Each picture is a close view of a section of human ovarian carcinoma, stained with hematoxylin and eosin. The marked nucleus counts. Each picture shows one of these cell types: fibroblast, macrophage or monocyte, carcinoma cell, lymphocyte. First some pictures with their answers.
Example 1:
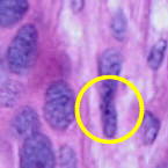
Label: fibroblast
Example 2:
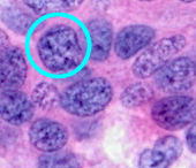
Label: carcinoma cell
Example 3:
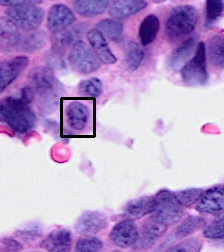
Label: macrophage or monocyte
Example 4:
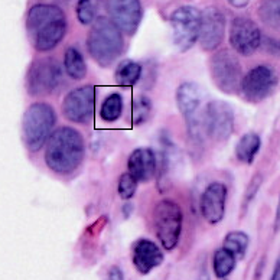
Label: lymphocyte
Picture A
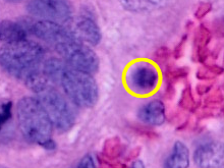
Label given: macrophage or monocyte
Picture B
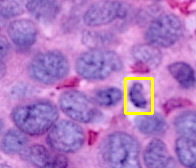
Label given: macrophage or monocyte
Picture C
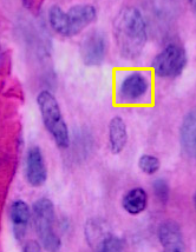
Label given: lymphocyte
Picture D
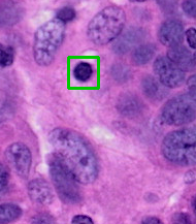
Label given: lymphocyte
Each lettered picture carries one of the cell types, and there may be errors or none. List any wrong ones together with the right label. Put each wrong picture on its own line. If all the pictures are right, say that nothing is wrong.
A should be lymphocyte, not macrophage or monocyte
